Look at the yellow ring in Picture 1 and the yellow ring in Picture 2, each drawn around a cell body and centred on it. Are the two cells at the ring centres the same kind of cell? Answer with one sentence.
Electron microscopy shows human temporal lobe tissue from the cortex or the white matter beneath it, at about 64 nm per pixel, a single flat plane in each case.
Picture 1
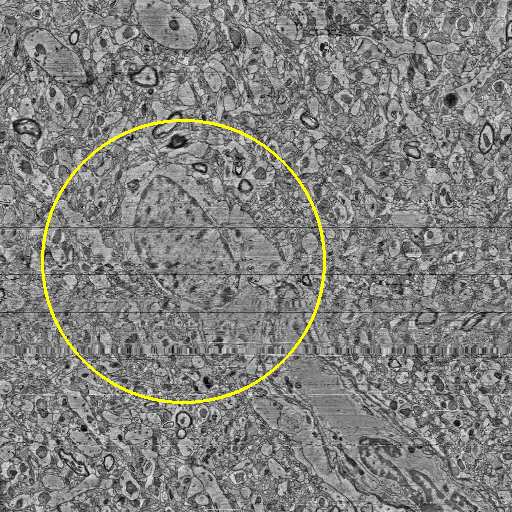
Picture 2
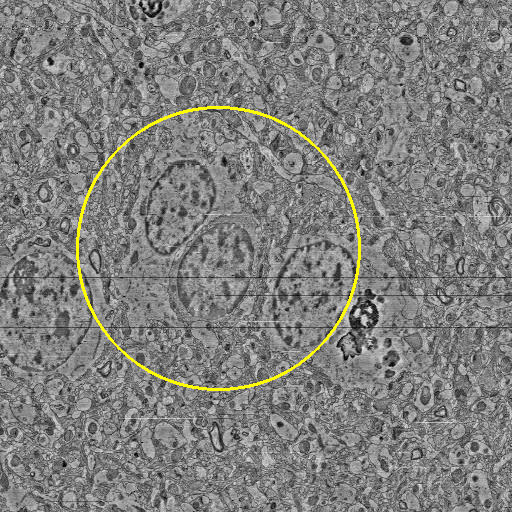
No, they are cells of two kinds.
